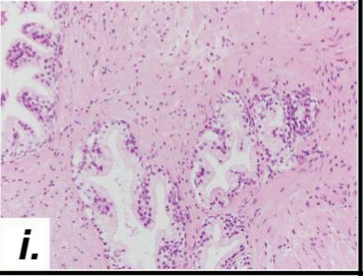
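Broad sheets of pink fibrous stroma with scattered elongated, spindle-shaped nuclei fill most of this prostate tissue. A few glands with infolded, papillary linings of epithelial cells with purple nuclei sit apart from one another within it. The picture is of a stroma-rich, fibrotic tissue architecture.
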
